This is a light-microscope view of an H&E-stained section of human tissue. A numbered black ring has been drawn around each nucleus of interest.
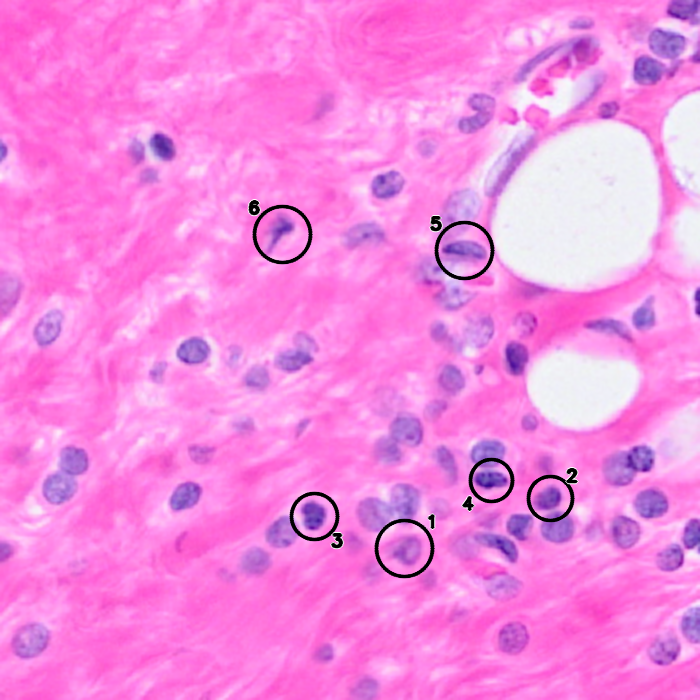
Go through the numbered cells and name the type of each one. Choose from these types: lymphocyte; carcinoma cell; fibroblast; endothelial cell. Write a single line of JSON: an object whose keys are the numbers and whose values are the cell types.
{"1": "carcinoma cell", "2": "lymphocyte", "3": "lymphocyte", "4": "lymphocyte", "5": "endothelial cell", "6": "fibroblast"}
